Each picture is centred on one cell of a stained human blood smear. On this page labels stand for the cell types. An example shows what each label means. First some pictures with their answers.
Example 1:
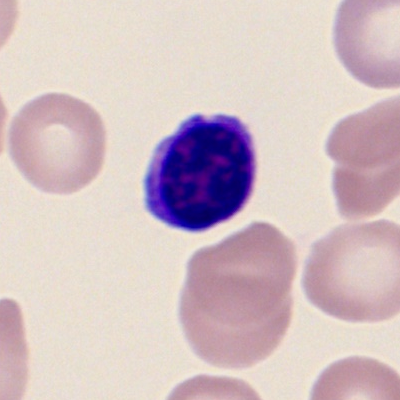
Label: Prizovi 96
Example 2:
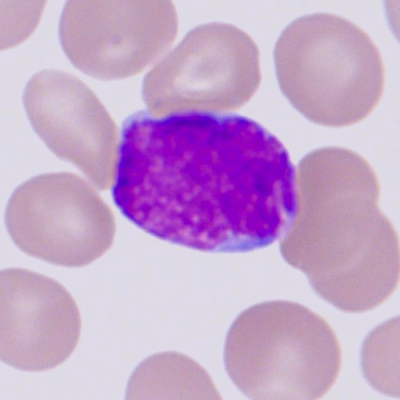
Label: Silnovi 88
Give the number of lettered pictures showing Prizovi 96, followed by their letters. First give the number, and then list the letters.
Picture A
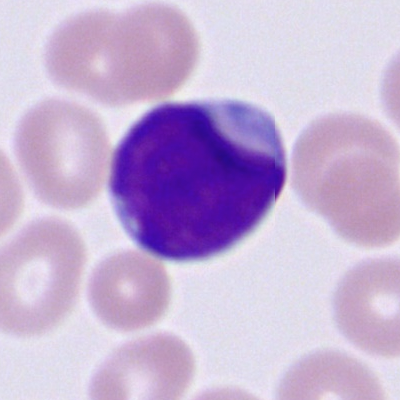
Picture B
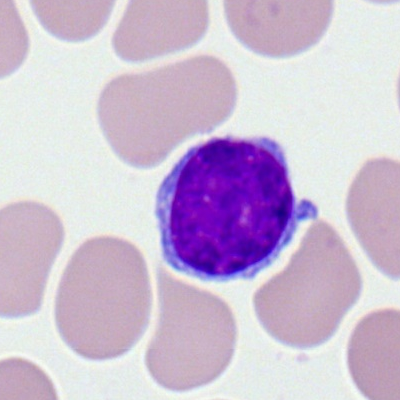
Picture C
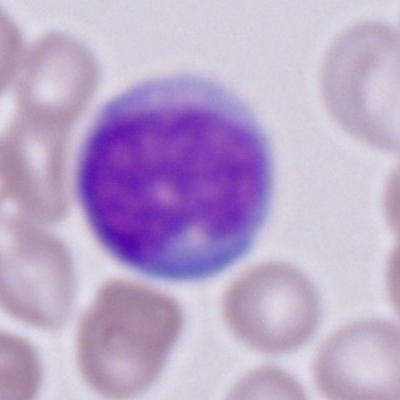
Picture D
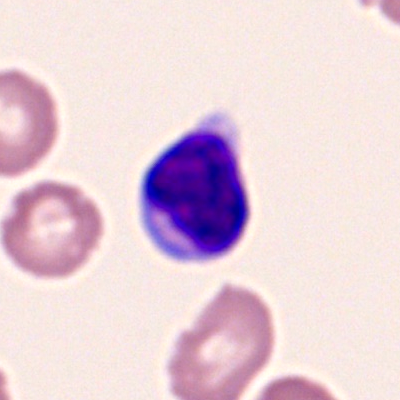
2, namely B, D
